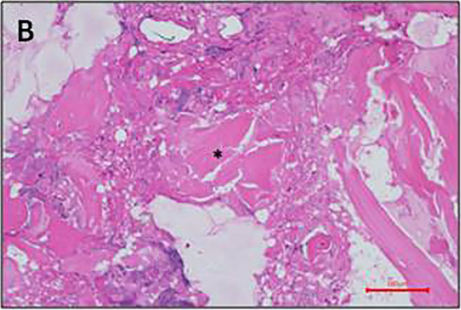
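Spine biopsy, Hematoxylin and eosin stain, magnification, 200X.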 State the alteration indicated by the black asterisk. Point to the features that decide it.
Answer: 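The asterisk lies on a broad, homogeneous pink band of matrix. Few or no nuclei are visible within the pink band under the asterisk.
Answer: Necrotic bone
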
